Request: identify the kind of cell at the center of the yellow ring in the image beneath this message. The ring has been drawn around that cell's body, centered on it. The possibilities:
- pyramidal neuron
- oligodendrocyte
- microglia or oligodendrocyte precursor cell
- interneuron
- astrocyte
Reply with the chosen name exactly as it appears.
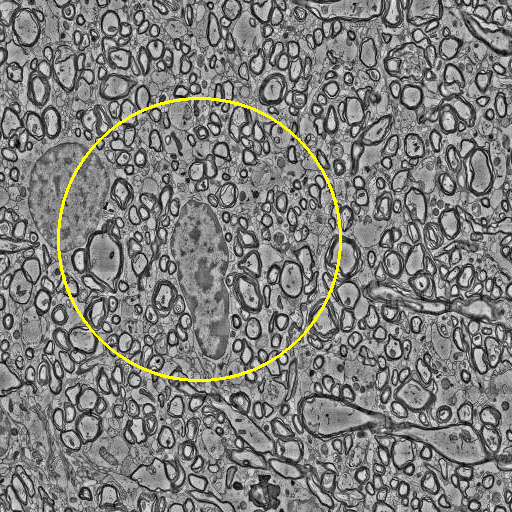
microglia or oligodendrocyte precursor cell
